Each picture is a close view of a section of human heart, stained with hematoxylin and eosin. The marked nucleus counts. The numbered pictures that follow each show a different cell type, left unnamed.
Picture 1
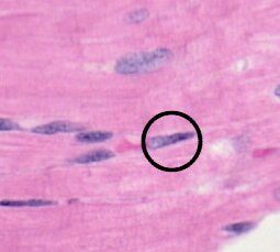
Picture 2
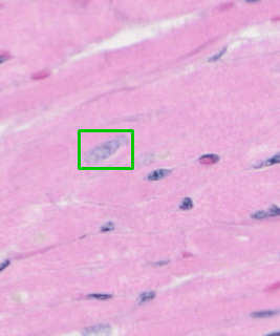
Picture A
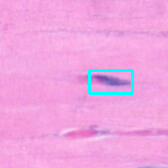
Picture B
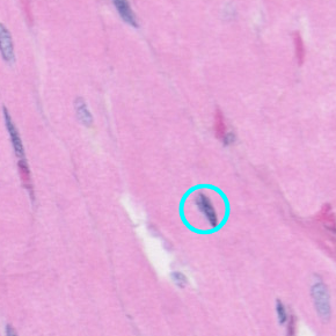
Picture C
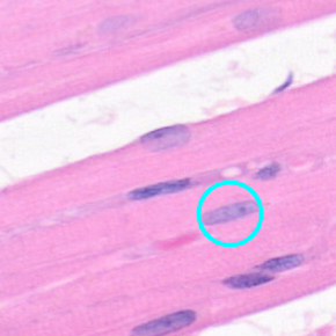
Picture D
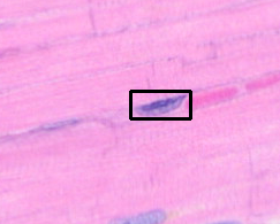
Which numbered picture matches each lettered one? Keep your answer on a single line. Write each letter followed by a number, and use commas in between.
A 1, B 1, C 2, D 1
